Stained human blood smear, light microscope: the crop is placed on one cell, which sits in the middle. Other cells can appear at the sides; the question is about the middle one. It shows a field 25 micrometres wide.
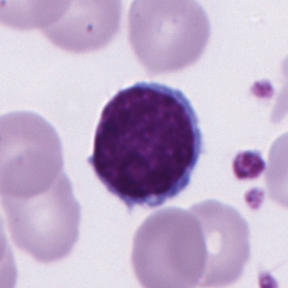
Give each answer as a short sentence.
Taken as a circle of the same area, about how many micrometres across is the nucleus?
Taken as a circle, the nucleus has a diameter of about 9 micrometres.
